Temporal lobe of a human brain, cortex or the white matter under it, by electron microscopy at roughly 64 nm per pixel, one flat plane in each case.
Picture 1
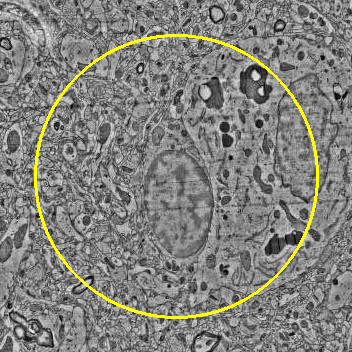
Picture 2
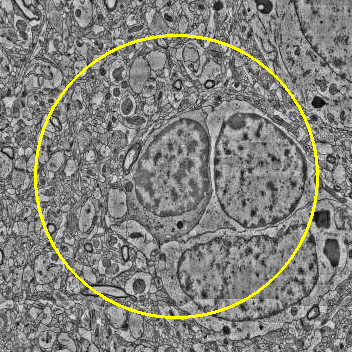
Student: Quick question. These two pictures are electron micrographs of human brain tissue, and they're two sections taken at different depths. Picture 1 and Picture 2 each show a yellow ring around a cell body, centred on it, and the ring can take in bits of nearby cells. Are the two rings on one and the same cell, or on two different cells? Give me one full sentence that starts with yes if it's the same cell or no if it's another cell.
No, the two yellow rings correspond to two separate cells.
